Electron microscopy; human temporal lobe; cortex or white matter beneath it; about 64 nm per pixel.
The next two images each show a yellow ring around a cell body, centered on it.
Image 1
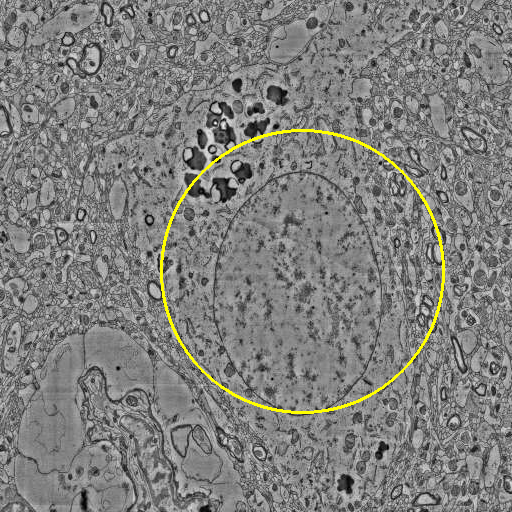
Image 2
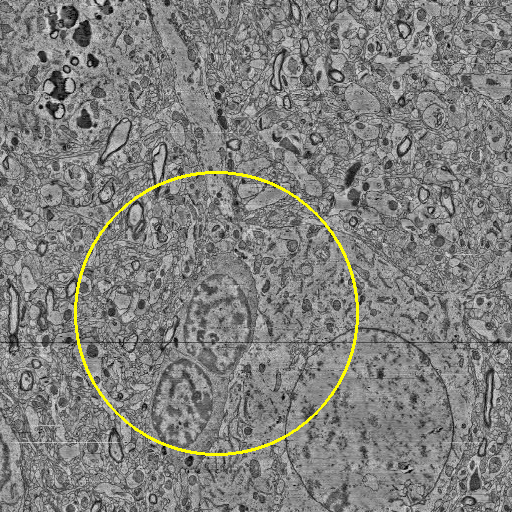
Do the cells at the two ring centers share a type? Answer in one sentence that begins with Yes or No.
No, across the two images the cells at the ring centers are of two types.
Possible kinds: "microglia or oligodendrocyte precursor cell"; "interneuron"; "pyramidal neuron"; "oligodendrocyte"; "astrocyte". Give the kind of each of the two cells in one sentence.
The cell in the second picture is an oligodendrocyte, and that in the first is a pyramidal neuron.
